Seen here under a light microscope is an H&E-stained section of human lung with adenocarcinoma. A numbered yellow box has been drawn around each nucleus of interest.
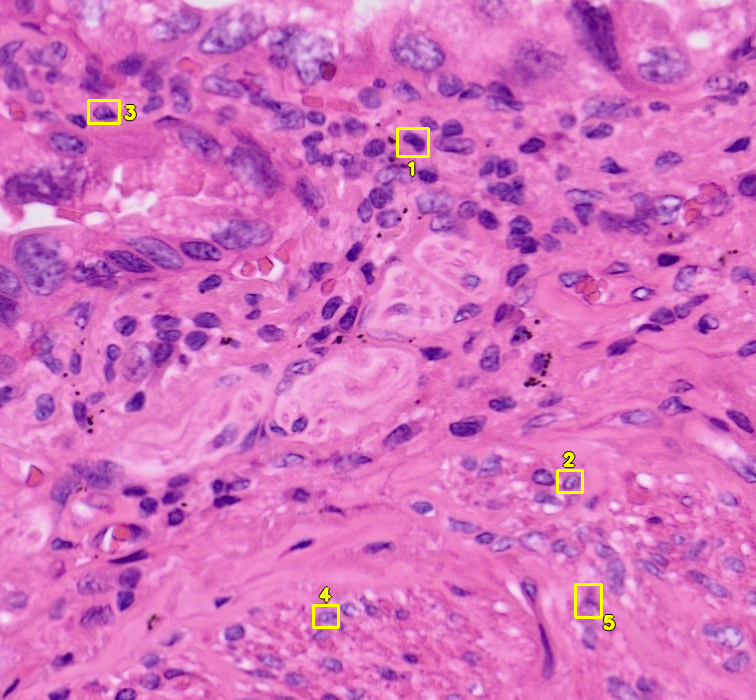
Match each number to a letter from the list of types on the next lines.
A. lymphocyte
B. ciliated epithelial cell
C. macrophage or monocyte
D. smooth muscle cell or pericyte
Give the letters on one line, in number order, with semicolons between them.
A; D; A; D; D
